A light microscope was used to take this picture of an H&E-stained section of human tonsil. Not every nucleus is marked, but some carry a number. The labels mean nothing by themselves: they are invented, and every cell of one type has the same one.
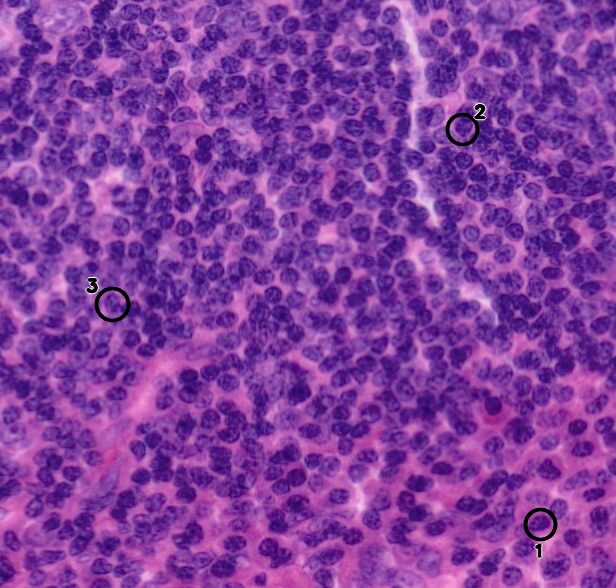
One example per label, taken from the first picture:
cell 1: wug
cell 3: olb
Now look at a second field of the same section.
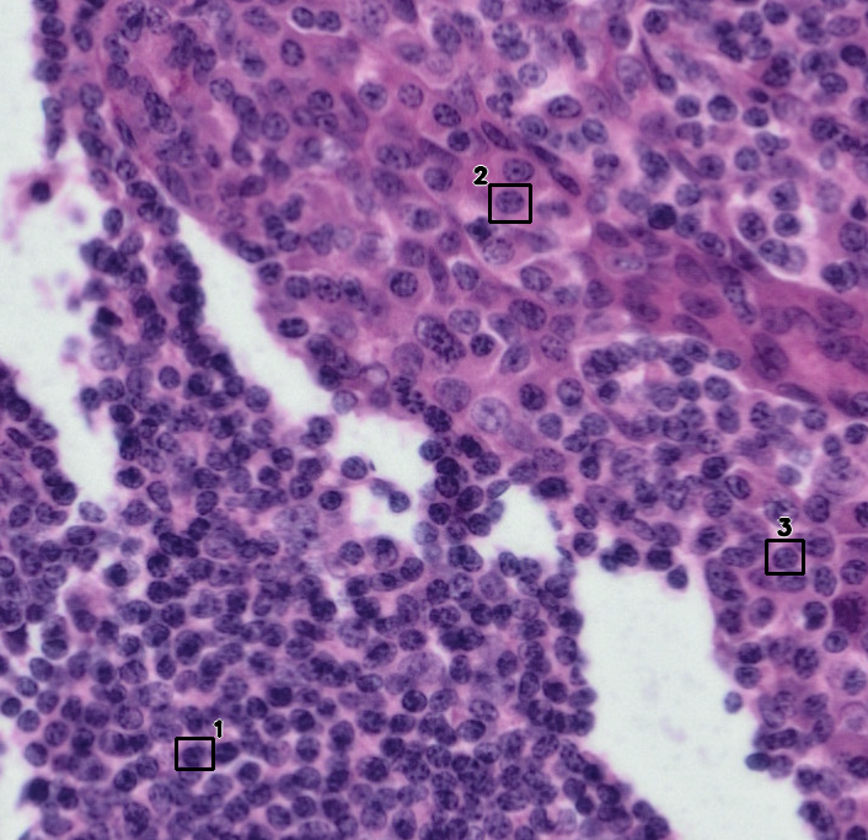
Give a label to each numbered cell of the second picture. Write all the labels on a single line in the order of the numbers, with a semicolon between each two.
olb; wug; wug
